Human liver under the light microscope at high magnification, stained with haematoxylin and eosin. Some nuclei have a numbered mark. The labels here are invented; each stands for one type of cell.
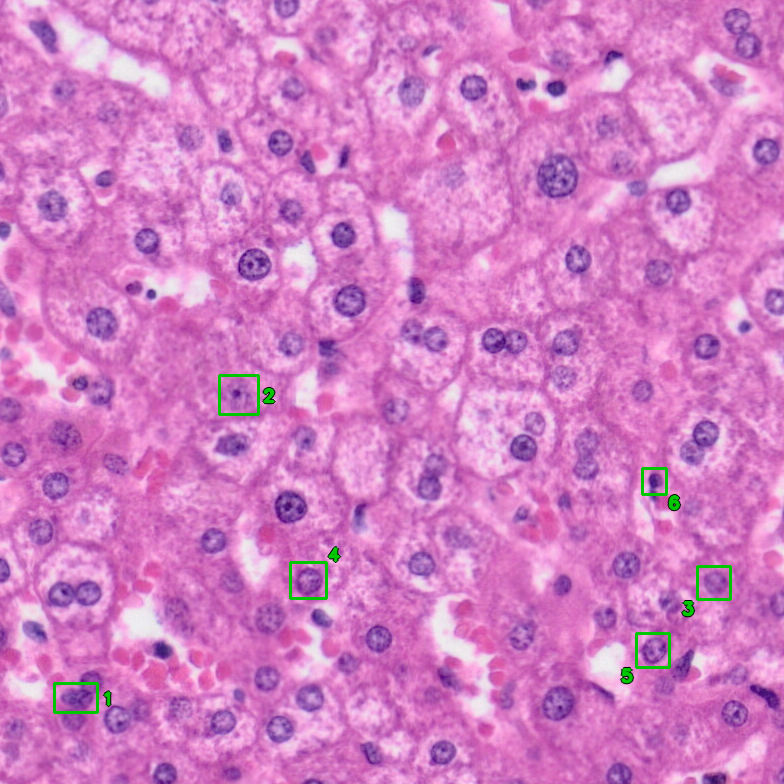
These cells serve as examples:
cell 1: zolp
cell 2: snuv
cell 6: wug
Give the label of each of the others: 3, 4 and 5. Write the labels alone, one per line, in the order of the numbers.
snuv
snuv
snuv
